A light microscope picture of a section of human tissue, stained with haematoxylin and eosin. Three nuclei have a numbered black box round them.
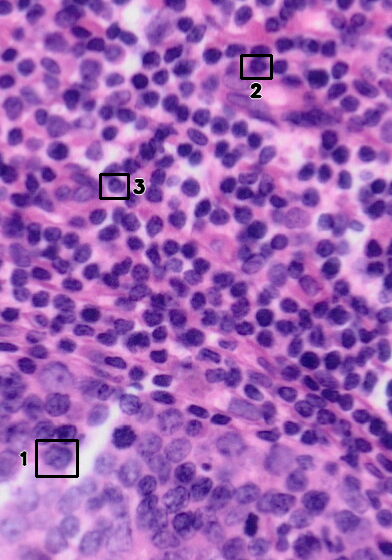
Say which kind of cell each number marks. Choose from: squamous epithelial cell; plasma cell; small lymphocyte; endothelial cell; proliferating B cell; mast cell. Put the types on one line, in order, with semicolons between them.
proliferating B cell; endothelial cell; small lymphocyte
